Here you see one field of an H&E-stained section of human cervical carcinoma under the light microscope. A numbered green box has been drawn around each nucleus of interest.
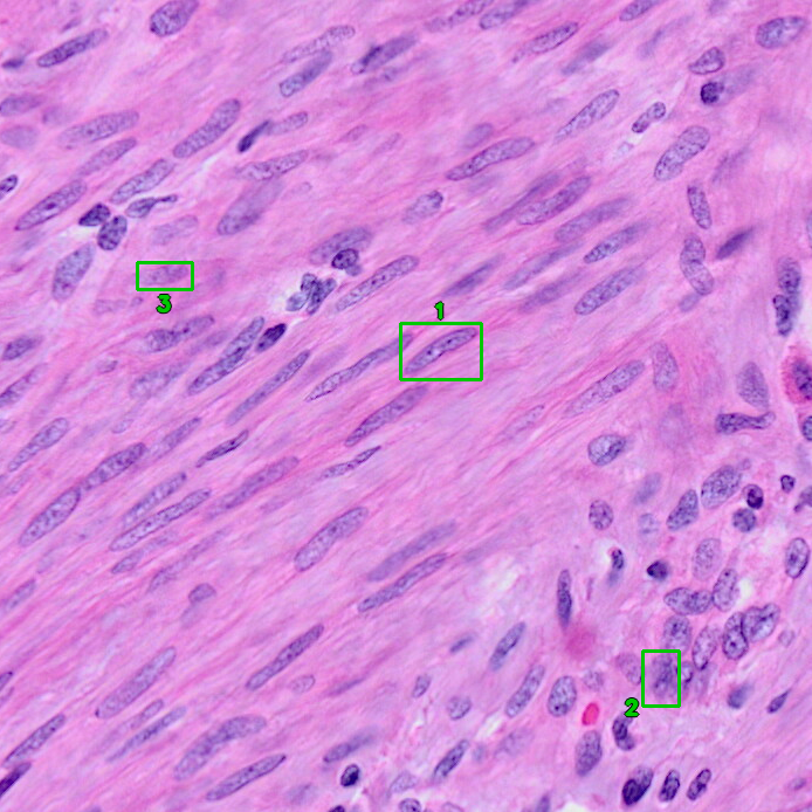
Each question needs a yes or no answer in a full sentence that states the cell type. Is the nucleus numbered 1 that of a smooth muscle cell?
Yes, looking at number 1, that cell is a smooth muscle cell.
